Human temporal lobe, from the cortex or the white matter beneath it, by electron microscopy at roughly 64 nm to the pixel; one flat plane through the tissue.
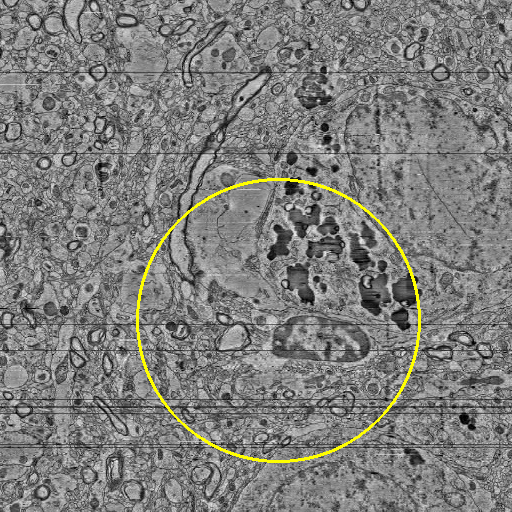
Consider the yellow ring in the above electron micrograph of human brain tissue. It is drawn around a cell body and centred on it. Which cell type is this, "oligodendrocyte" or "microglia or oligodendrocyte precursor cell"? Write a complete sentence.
The cell in question is a microglial cell or oligodendrocyte precursor cell.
